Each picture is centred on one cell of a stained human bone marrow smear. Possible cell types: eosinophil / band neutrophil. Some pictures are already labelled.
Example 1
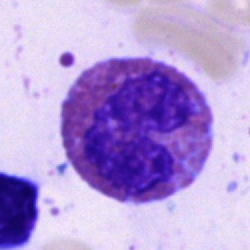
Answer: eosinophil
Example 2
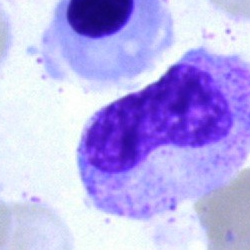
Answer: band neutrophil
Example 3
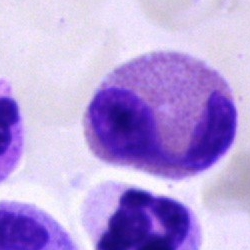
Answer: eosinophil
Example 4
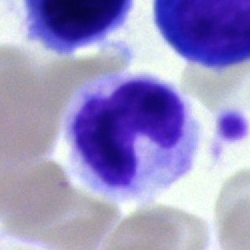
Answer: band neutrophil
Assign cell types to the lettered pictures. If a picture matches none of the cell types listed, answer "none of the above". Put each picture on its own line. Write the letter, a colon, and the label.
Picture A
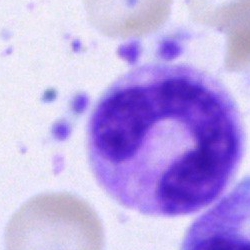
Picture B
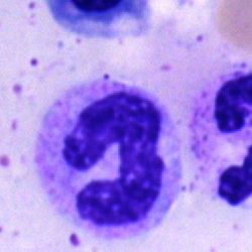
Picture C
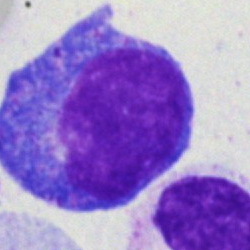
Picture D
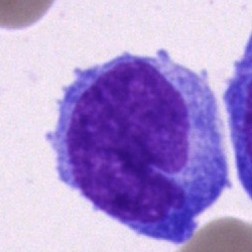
A: band neutrophil
B: band neutrophil
C: none of the above
D: none of the above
